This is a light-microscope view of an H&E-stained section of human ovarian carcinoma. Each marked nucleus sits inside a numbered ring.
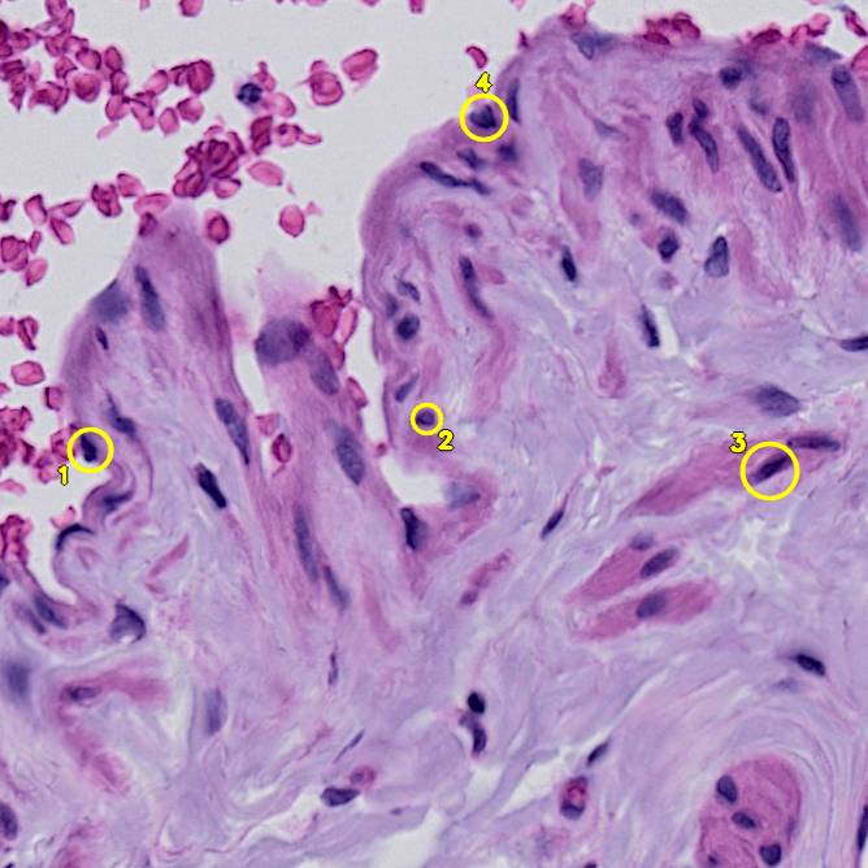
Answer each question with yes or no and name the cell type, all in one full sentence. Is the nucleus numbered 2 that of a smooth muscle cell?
Yes, the cell to which number 2 refers is a smooth muscle cell.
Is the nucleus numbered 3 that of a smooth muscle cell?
Yes, it checks out; the cell labelled 3 is a smooth muscle cell.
